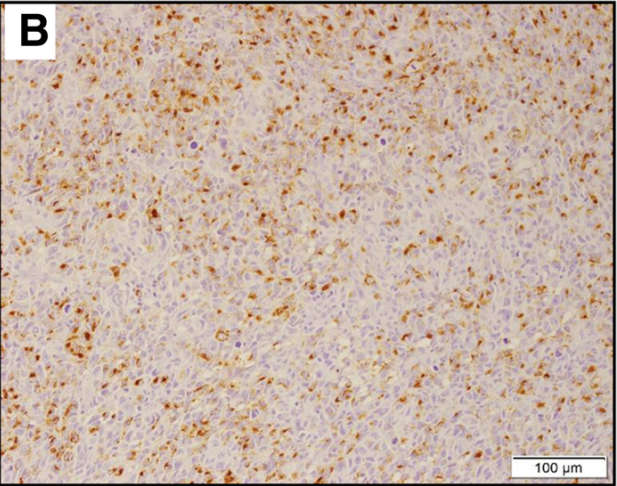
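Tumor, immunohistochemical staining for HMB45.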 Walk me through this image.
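This is a solid tumour made of sheets of closely packed epithelioid cells with pale blue nuclei. Many cells scattered diffusely across the whole field show brown granular staining in their cytoplasm. The brown-stained cells are intermixed with unstained cells rather than confined to one area. The cells are polygonal to ovoid and form a dense sheet without glands.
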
